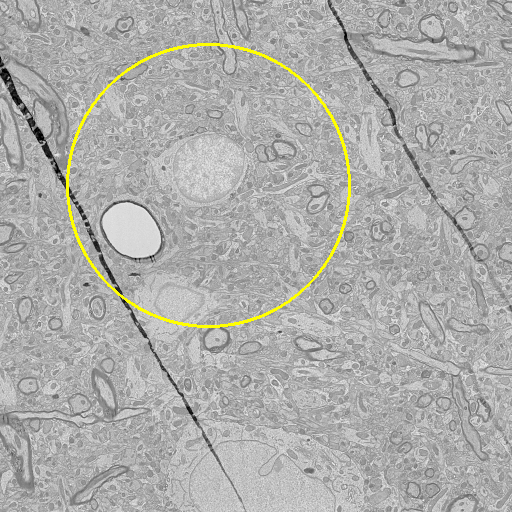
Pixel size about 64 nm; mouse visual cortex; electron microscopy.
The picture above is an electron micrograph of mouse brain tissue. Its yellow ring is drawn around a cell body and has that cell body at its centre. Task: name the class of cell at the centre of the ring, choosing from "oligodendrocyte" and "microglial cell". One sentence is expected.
The ring surrounds the body of an oligodendrocyte.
